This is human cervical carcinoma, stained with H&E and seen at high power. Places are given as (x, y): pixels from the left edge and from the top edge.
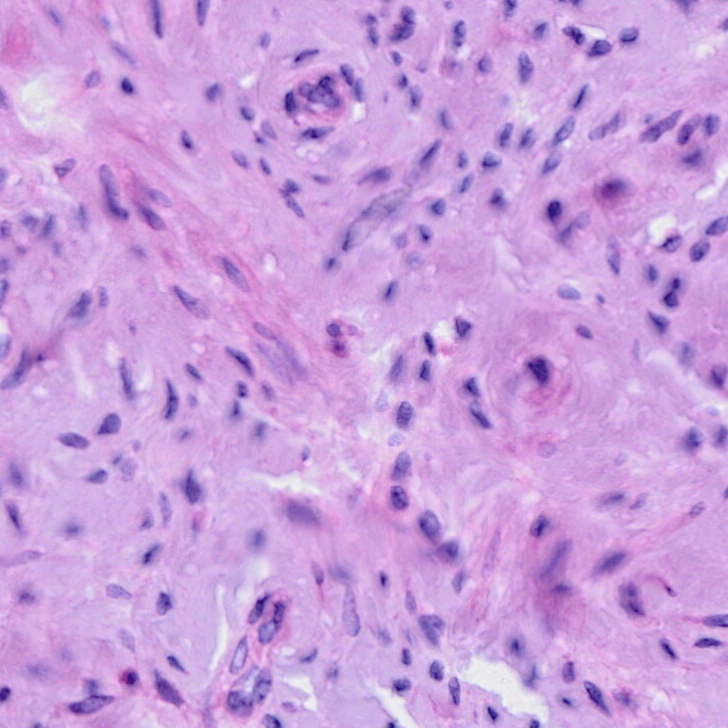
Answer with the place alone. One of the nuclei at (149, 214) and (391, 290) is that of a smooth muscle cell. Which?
(149, 214)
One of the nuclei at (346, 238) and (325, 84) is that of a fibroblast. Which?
(346, 238)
